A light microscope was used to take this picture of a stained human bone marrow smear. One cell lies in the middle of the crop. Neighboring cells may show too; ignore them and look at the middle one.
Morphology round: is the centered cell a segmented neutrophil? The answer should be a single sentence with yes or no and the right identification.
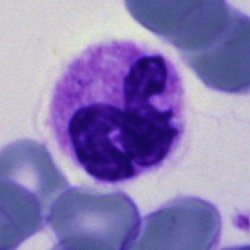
Yes, the central element of the crop is a segmented neutrophil.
